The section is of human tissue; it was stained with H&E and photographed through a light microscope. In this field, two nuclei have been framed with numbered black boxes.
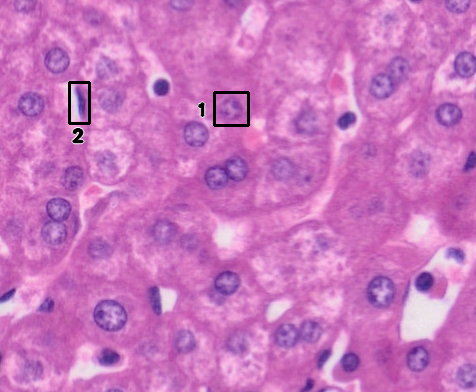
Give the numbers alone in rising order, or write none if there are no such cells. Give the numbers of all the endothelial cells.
2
